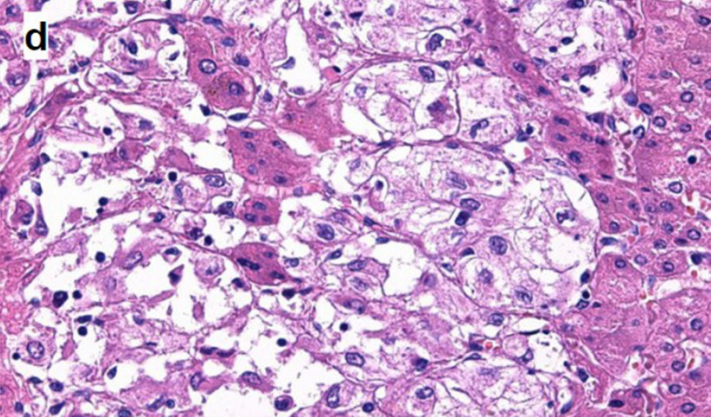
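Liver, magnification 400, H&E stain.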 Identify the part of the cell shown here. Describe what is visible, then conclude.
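Several nuclei contain distinct, visible nucleoli. So: large, hyperchromatic nuclei with prominent nucleoli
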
